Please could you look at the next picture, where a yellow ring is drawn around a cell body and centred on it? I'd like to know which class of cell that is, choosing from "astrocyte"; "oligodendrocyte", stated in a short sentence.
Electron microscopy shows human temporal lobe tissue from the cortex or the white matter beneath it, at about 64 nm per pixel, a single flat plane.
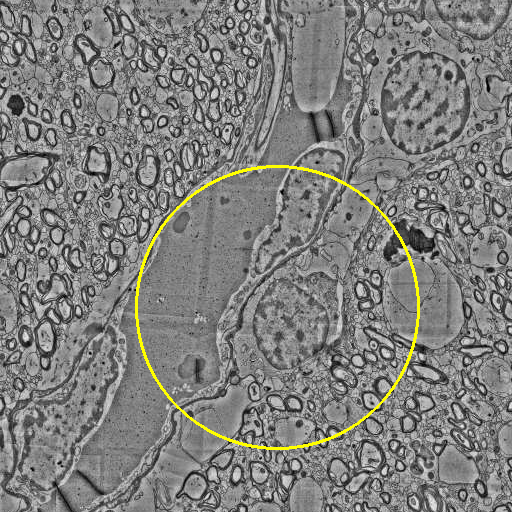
The ring's centre lies on an oligodendrocyte.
